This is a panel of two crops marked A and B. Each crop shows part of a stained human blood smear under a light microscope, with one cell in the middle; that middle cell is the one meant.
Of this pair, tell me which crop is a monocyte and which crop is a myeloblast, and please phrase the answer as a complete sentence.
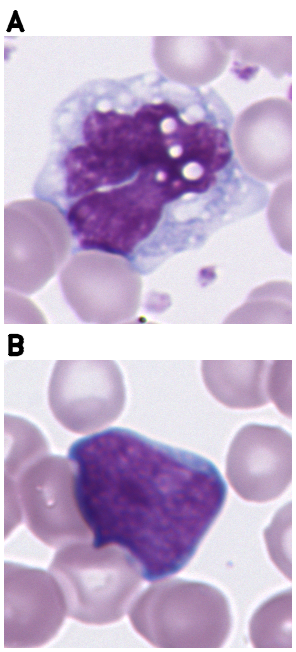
Found in crop A is a monocyte; found in crop B is a myeloblast.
